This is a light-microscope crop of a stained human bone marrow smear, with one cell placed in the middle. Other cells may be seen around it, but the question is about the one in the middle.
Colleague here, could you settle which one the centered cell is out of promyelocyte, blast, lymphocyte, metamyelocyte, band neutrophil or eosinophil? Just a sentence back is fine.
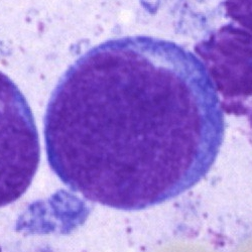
This crop is built around a blast at its centre.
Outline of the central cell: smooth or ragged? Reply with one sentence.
Expected answer: a smooth cell outline without projections of any sort.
